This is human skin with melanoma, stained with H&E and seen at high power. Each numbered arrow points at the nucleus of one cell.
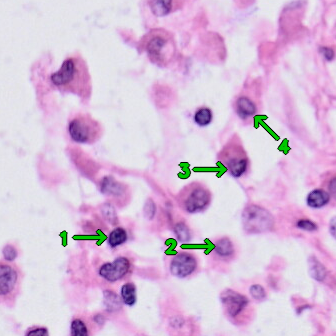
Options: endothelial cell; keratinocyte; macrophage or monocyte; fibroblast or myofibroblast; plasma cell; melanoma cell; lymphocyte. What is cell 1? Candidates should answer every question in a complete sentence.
The cell indicated by marker 1 is a lymphocyte in this section.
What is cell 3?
Marked with the number 3, this cell is a macrophage or monocyte.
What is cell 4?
The correct answer for cell 4 is a macrophage or monocyte.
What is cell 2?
Classified as a macrophage or monocyte is the cell with the number 2.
